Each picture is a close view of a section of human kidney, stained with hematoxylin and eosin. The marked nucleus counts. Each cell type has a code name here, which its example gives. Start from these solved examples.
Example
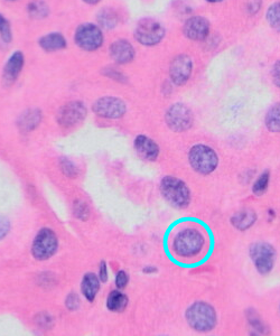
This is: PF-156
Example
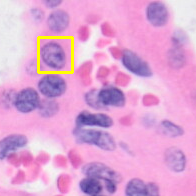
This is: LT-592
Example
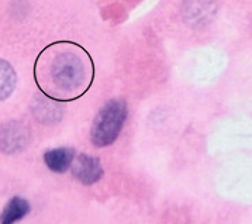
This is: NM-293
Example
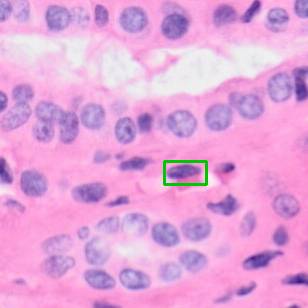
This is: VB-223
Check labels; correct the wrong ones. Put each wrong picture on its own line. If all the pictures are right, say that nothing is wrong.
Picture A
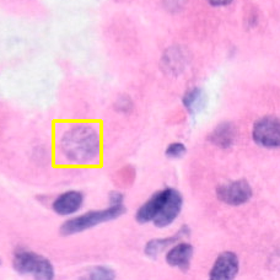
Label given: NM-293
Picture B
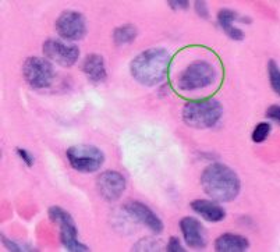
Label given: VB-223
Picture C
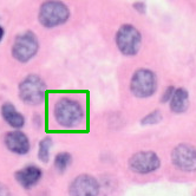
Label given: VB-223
B: not VB-223 but LT-592
C: not VB-223 but PF-156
